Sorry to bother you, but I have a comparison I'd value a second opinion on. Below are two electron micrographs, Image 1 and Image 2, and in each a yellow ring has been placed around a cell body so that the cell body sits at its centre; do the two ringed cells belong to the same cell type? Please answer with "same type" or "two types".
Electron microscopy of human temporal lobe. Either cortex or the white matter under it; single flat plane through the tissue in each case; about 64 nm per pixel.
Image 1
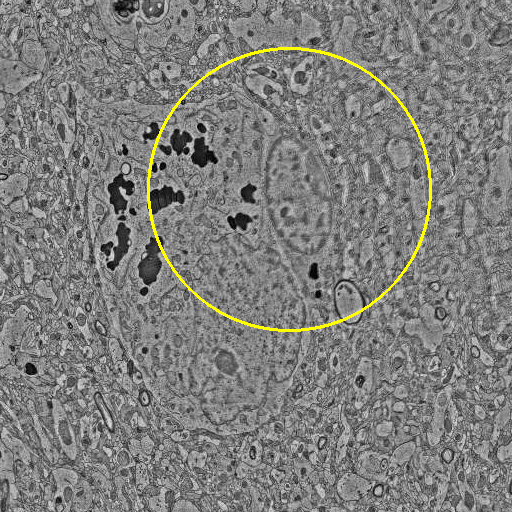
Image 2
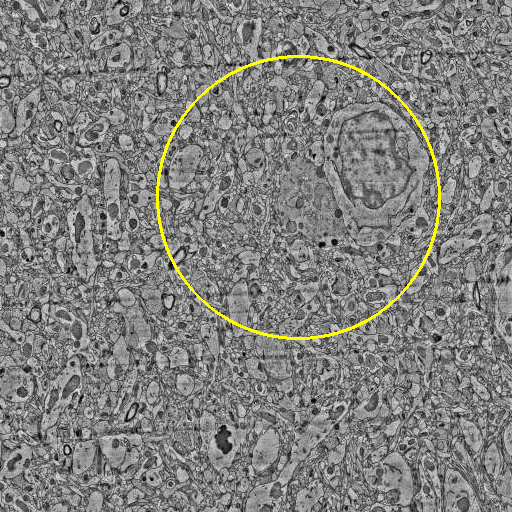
same type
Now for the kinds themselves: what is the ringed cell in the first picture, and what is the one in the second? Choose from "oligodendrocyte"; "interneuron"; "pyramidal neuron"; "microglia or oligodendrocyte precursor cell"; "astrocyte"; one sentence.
In the first picture and in the second, the ring is centred on an oligodendrocyte.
